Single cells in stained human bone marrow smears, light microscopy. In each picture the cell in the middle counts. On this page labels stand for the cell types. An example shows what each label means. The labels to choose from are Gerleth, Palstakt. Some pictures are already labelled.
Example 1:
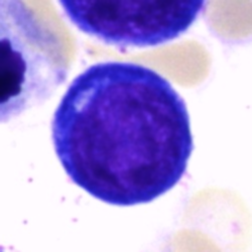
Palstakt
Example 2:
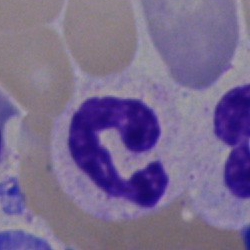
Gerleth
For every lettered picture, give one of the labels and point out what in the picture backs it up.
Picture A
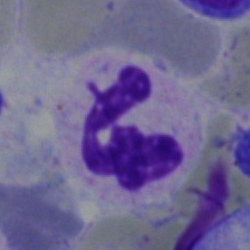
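Label: Gerleth. The cytoplasm is abundant and pale pinkish-lilac.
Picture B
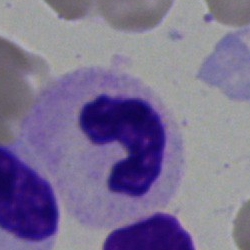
Label: Gerleth. Fine lilac granules are scattered through the cytoplasm.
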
